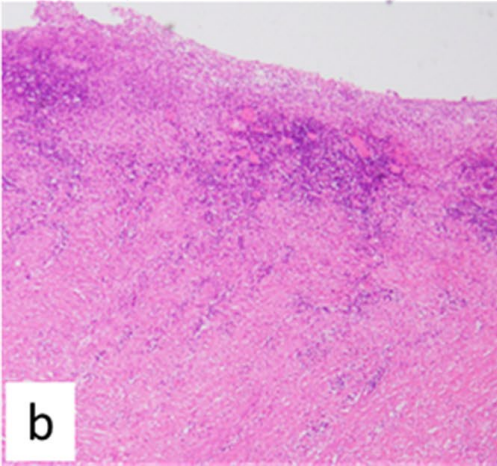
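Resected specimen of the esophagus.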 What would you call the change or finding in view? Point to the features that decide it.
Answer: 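Dense dark purple clusters of small cells lie along the upper surface of the tissue. The deeper tissue is paler pink with fewer cells.
Inflammatory cells invade the superficial area.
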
